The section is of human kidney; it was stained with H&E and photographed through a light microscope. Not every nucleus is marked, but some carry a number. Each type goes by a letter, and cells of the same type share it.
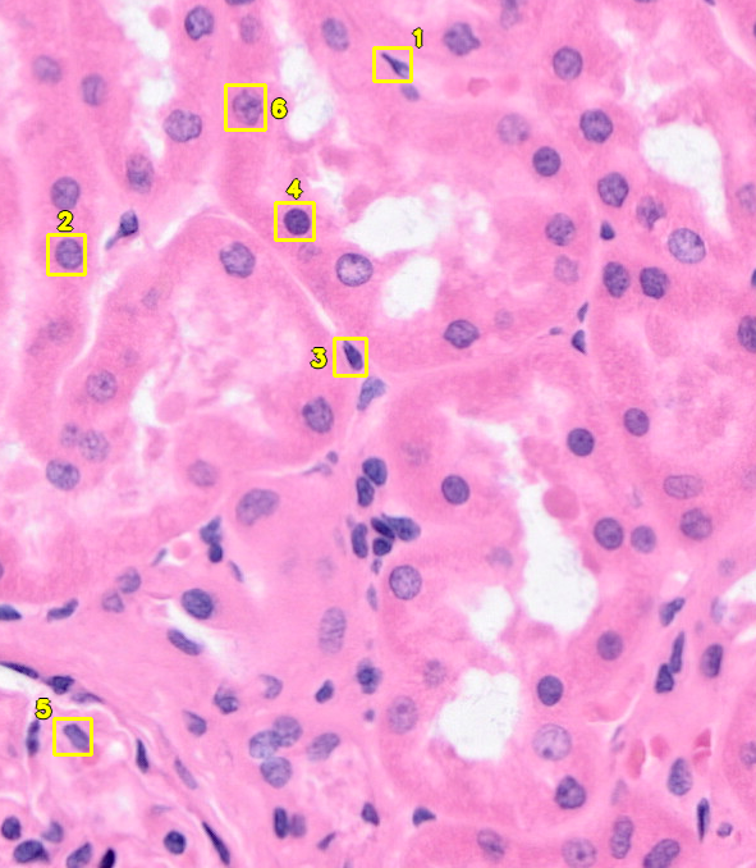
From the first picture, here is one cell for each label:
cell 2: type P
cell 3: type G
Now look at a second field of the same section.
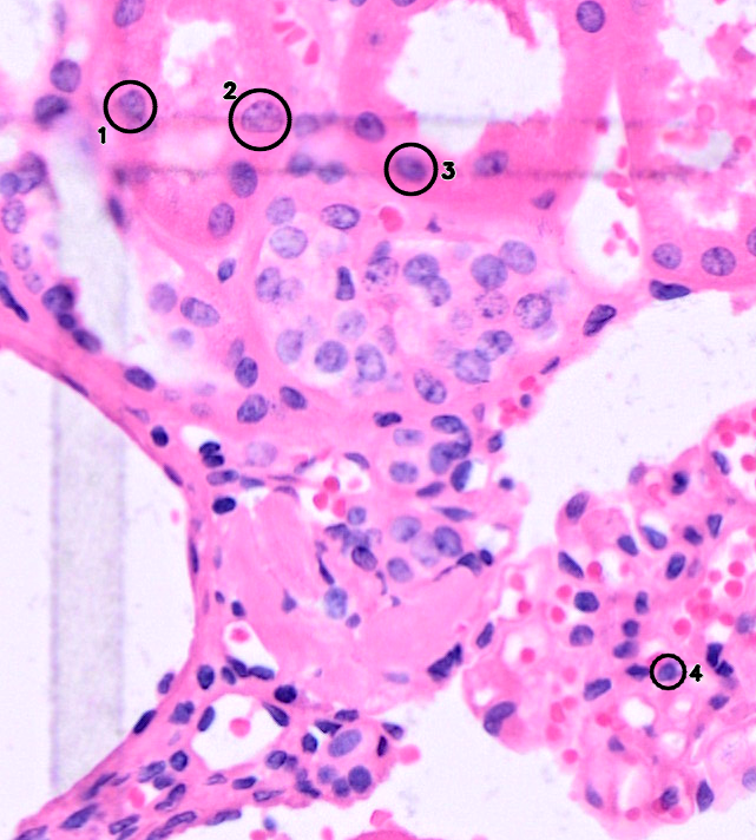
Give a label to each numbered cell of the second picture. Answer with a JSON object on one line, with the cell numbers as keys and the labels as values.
{"1": "type P", "2": "type P", "3": "type P", "4": "type G"}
